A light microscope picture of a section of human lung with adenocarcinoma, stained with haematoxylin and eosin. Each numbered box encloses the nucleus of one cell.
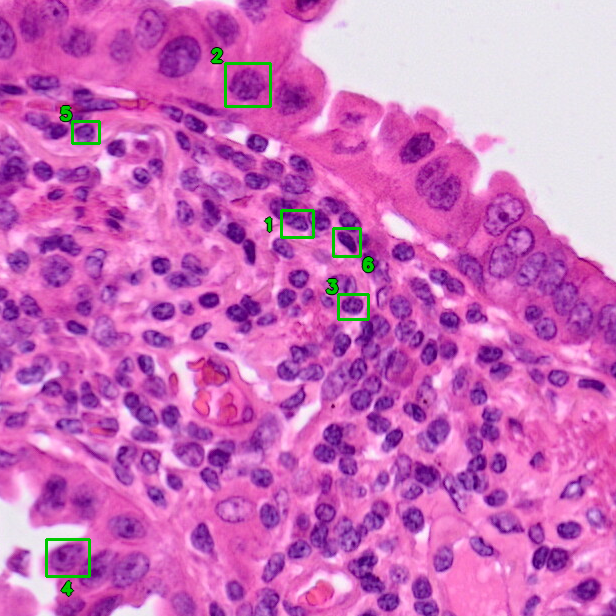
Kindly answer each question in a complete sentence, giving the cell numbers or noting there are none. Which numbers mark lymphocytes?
The cells numbered 1, 3, 5 and 6 are identified as lymphocytes.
